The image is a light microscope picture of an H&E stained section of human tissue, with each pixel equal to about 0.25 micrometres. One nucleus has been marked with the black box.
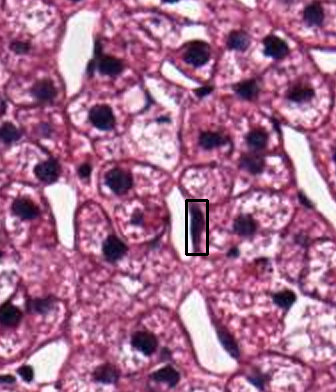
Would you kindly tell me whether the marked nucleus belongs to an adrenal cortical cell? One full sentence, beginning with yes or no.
No, the marked nucleus, which belongs to a supporting cell, is not part of an adrenal cortical cell.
